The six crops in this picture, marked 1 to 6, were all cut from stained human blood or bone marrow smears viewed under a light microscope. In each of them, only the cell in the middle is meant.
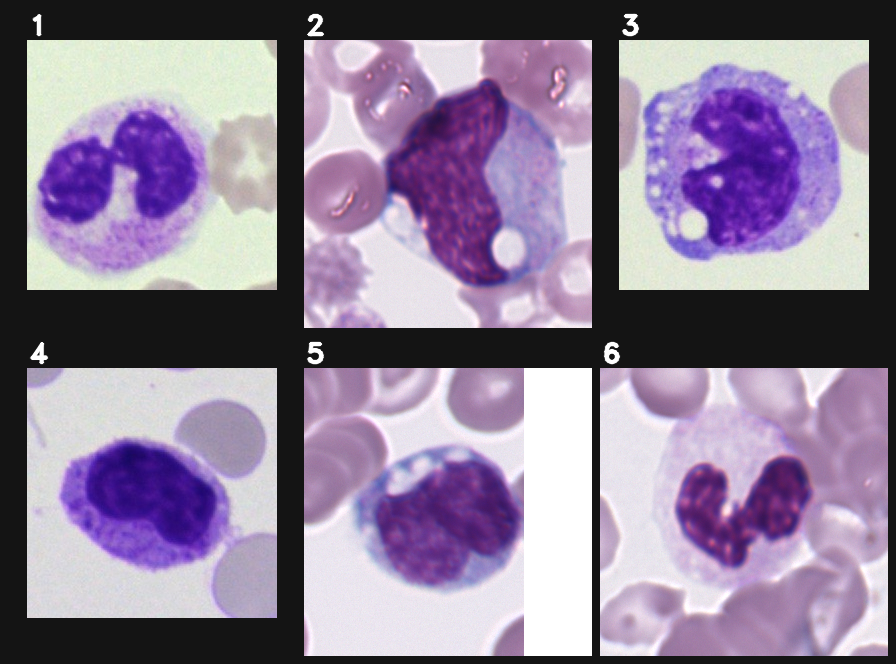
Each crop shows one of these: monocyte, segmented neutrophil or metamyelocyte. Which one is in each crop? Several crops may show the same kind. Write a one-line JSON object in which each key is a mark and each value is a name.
{"1": "segmented neutrophil", "2": "monocyte", "3": "monocyte", "4": "metamyelocyte", "5": "monocyte", "6": "segmented neutrophil"}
